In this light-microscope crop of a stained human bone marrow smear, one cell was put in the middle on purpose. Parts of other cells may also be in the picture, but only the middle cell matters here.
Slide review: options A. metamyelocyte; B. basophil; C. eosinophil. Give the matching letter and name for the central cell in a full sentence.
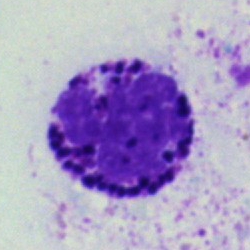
Option B, which names the central cell as a basophil, is correct.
